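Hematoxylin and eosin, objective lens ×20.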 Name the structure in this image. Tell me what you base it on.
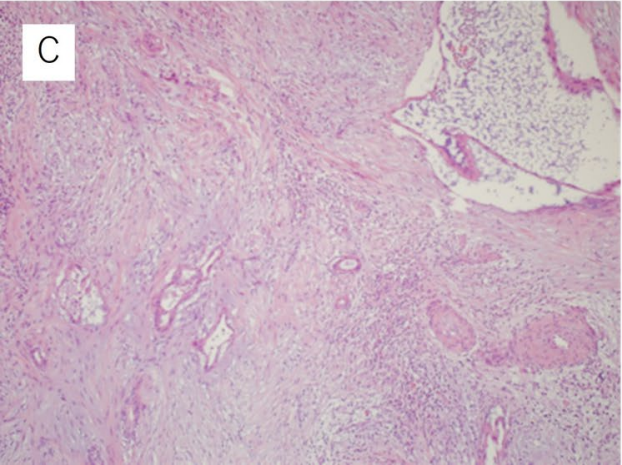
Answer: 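Pink fibrous tissue with many spindle-shaped cells fills most of the field between the glands. The spindle cells run in streaming, swirling bundles. So: marked desmoplastic stroma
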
